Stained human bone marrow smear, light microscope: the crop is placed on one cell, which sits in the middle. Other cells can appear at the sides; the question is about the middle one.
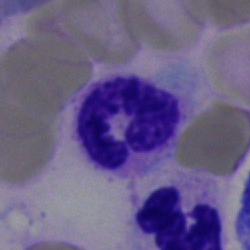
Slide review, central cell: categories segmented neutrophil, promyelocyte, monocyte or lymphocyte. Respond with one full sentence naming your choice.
The central cell, amid any neighbouring cells, is a segmented neutrophil.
